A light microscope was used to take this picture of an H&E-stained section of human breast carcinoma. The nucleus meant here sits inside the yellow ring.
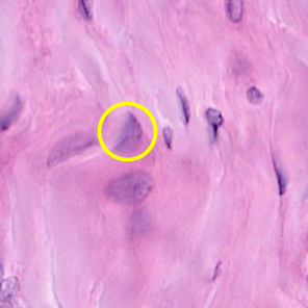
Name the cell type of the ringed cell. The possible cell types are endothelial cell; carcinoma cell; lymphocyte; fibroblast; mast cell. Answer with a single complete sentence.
At the level of cell identity, the ringed cell is a fibroblast.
